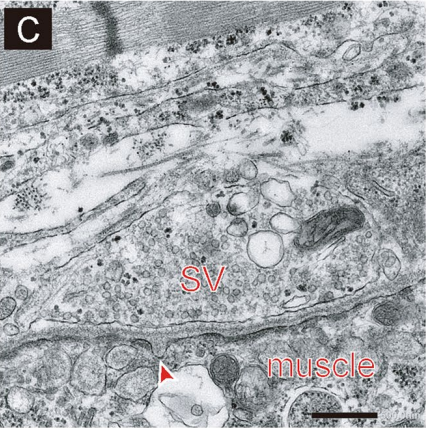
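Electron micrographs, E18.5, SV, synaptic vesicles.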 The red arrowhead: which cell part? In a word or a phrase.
Postsynaptic fold.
